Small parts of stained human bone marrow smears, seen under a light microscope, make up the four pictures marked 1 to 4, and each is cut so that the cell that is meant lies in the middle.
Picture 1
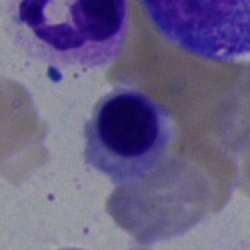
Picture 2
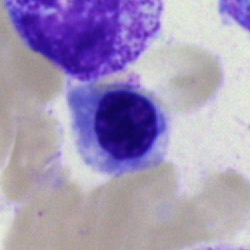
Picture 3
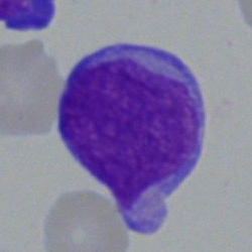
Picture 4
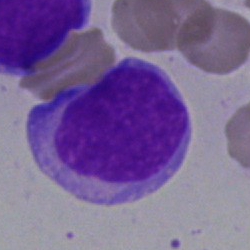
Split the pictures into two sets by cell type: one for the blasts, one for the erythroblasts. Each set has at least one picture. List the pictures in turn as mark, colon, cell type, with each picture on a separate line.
1: erythroblast
2: erythroblast
3: blast
4: blast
